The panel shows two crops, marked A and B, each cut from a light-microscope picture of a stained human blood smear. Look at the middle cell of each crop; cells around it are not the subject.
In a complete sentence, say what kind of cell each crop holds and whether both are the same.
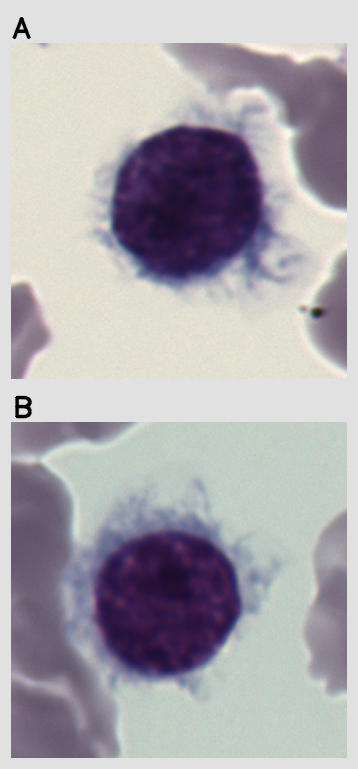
Yes, both crops show hairy cells, the one and the other.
